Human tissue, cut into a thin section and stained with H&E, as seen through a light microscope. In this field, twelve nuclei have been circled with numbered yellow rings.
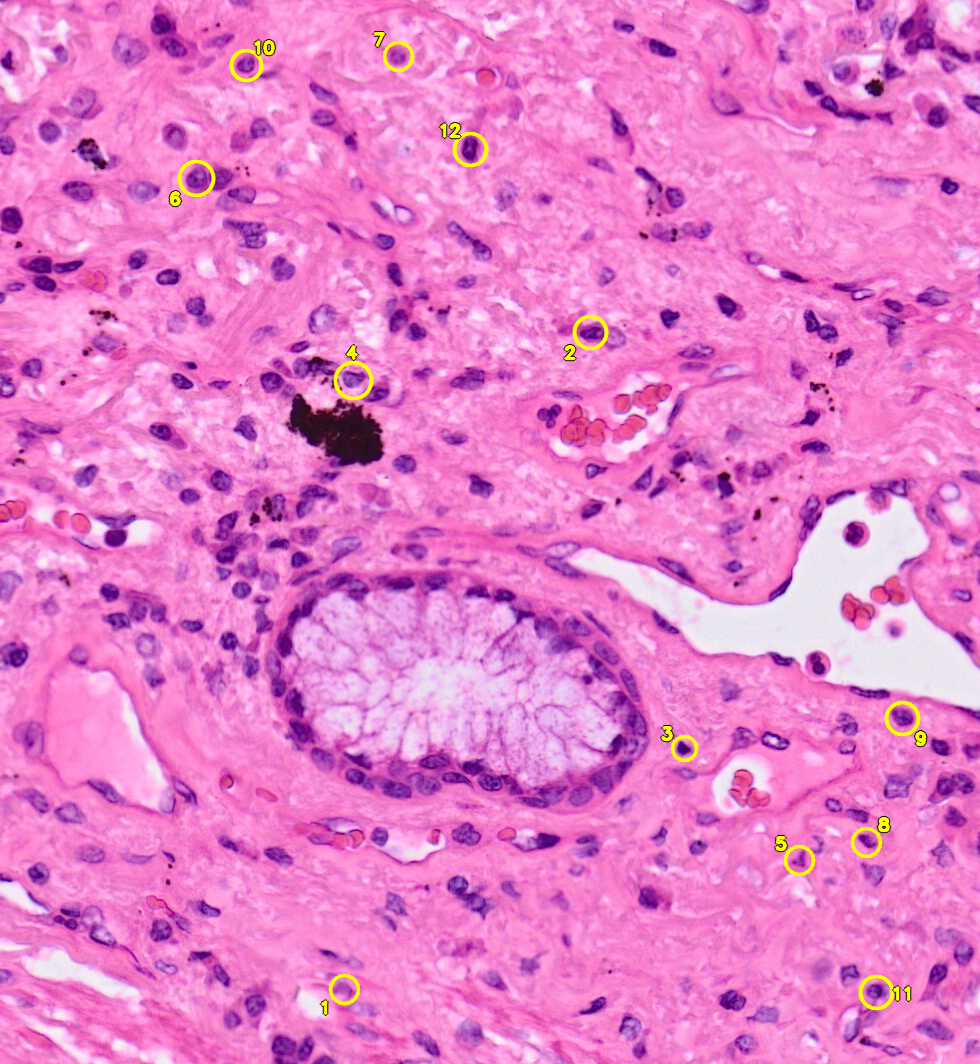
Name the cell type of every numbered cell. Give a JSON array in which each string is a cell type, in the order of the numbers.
["smooth muscle cell or pericyte", "plasma cell", "lymphocyte", "lymphocyte", "mast cell", "plasma cell", "mast cell", "mast cell", "mast cell", "mast cell", "lymphocyte", "plasma cell"]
